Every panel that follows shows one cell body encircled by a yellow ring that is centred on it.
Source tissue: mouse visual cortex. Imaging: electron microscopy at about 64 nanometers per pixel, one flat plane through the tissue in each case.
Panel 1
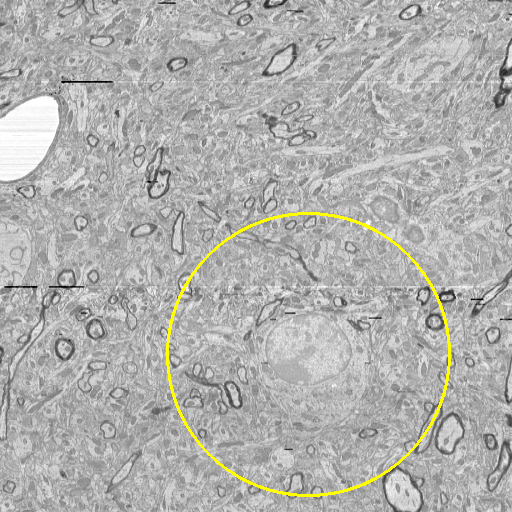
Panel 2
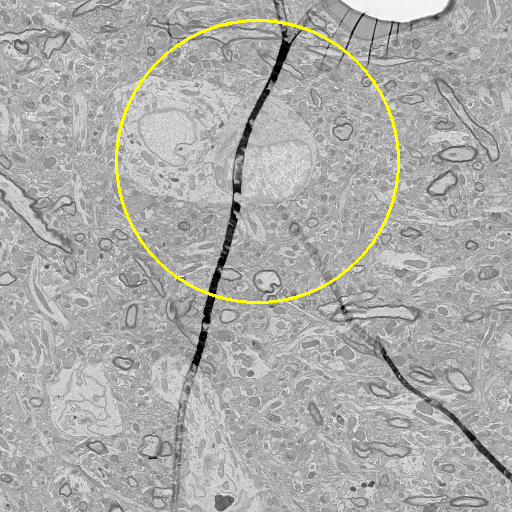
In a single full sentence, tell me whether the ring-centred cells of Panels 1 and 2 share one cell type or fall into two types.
In Panel 1 and Panel 2, the cells at the ring centres share one cell type.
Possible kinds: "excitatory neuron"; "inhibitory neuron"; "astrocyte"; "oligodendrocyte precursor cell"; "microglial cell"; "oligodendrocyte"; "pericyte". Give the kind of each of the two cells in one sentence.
Both cells are the same kind, each one being an oligodendrocyte.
